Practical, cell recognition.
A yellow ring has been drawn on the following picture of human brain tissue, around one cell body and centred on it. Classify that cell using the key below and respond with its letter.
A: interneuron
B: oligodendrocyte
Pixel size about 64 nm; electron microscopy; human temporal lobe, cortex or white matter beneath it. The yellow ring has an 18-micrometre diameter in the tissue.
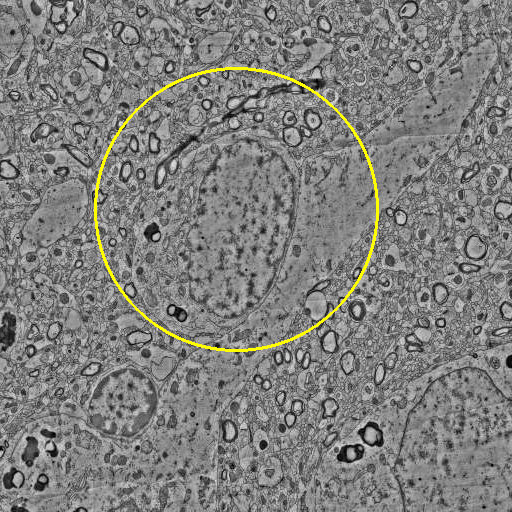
A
